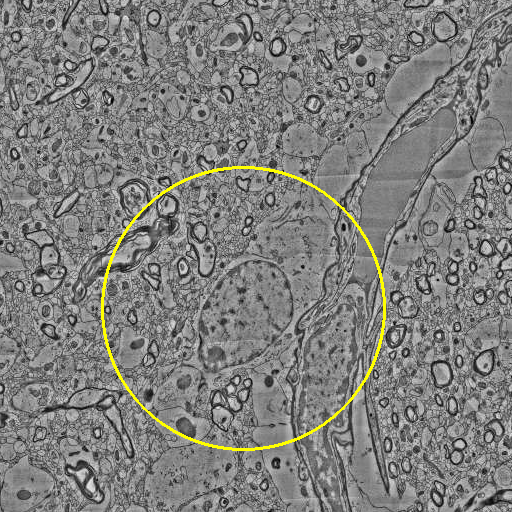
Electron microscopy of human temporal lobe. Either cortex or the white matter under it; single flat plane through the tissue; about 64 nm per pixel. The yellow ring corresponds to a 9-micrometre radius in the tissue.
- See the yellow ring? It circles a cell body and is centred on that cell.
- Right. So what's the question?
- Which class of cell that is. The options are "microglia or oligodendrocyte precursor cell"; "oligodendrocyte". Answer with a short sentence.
The centre of the ring holds a microglial cell or oligodendrocyte precursor cell.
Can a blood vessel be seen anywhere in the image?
Yes, the picture includes a blood vessel.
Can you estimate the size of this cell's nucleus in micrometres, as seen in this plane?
About 8 by 5 micrometers; the nucleus is clearly longer than it is wide in this plane.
